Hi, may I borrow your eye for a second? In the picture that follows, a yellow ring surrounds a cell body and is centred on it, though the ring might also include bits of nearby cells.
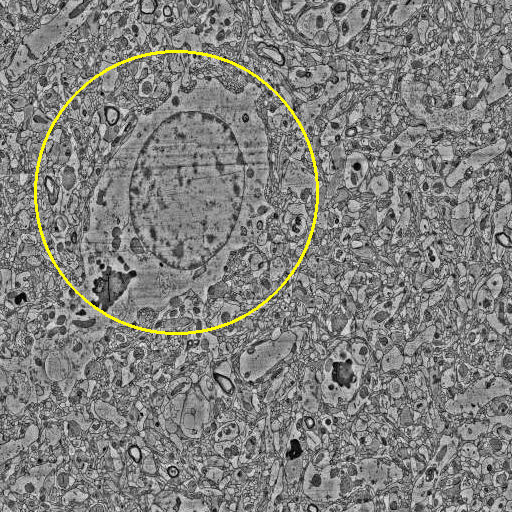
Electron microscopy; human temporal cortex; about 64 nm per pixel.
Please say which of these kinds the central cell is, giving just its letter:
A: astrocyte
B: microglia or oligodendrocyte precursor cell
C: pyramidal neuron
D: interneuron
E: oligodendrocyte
A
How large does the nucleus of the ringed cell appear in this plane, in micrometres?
The nucleus works out at approximately 10 by 7 micrometres in this plane.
